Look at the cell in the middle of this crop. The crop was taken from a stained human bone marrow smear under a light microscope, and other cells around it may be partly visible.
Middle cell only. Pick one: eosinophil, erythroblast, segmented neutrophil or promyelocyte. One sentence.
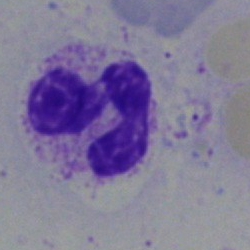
In the middle of this smear crop is a segmented neutrophil.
